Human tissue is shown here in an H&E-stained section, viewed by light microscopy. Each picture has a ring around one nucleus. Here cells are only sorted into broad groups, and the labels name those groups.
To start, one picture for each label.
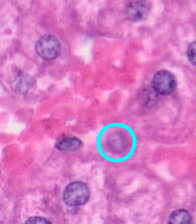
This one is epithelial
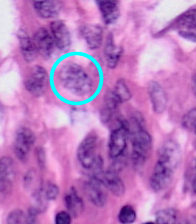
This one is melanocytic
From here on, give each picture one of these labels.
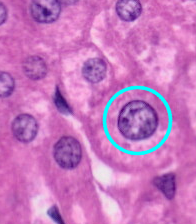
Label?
epithelial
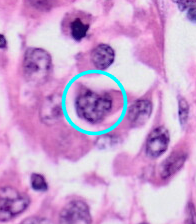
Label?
melanocytic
